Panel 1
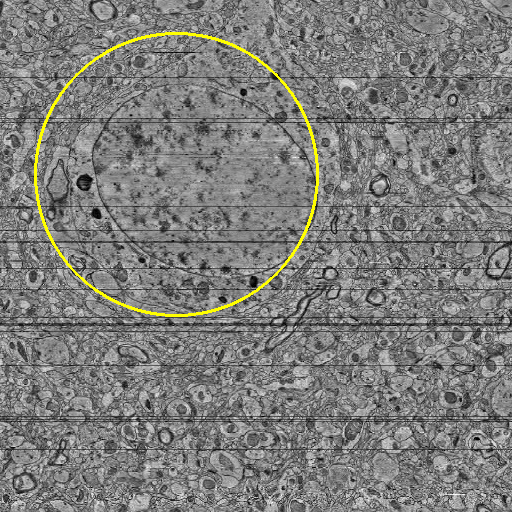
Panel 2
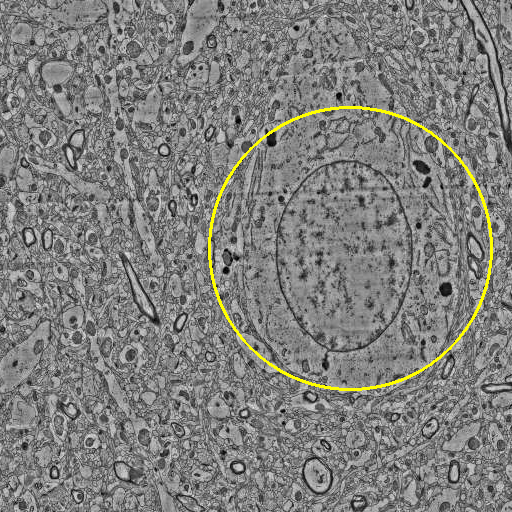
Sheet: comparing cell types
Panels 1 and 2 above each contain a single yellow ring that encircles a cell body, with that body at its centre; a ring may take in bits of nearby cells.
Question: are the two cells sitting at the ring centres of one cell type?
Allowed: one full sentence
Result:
Yes, the ring-centre cells in Panel 1 and Panel 2 are of one type.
